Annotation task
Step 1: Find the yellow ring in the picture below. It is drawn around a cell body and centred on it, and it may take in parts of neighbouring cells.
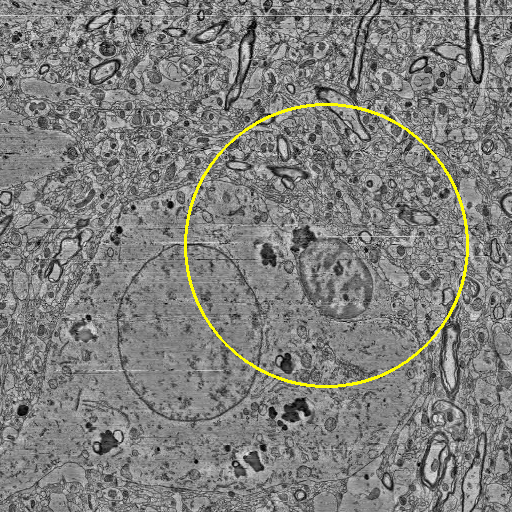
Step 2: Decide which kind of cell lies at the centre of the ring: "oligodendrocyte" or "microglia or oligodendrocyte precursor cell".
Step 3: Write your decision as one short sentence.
The kind of cell at the ring's centre is an oligodendrocyte.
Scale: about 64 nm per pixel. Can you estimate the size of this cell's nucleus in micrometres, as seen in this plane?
About 6 by 4 micrometers, in this plane.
